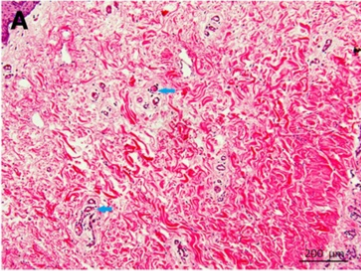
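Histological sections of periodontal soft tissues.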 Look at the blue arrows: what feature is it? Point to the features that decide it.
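Capillaries. The arrows point to small round profiles with a central lumen. The profiles are rimmed by a thin layer of flattened purple nuclei. They lie scattered in pink connective tissue.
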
